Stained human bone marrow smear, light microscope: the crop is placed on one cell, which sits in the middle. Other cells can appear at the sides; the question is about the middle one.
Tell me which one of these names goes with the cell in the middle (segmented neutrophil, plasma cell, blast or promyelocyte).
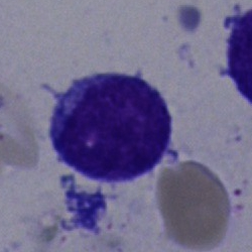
blast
